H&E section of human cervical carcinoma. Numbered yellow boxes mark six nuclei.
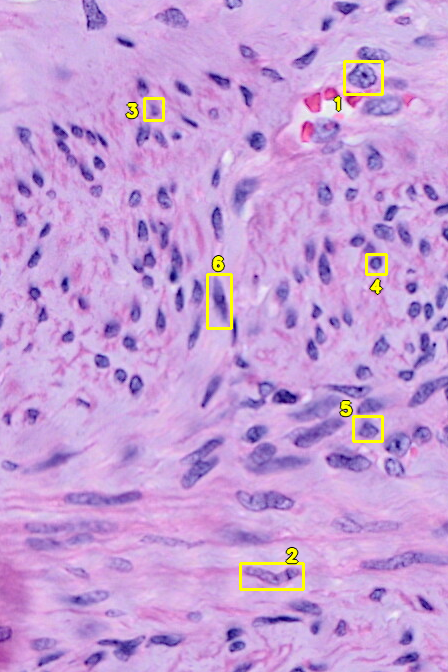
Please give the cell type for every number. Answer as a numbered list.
1. endothelial cell
2. smooth muscle cell
3. smooth muscle cell
4. smooth muscle cell
5. fibroblast
6. fibroblast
